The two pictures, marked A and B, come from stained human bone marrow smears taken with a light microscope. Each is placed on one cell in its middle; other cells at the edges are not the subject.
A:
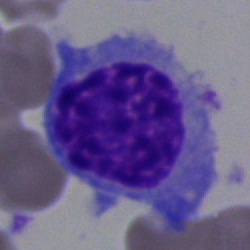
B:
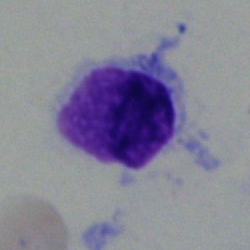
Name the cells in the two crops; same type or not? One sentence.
Yes, both crops have hairy cells as their central cells.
